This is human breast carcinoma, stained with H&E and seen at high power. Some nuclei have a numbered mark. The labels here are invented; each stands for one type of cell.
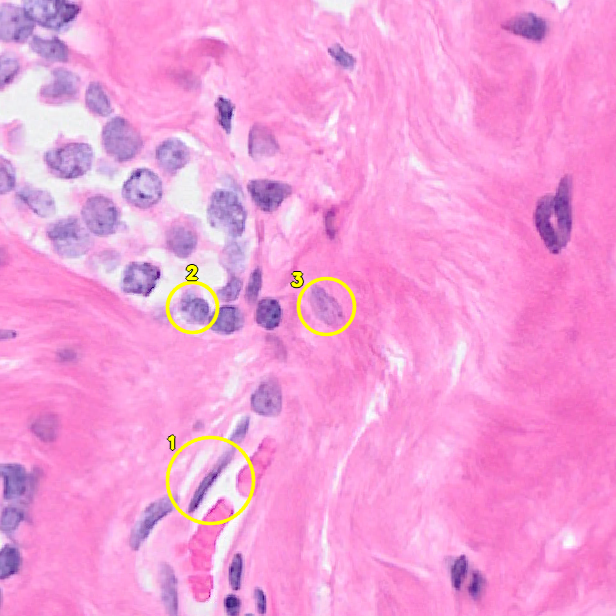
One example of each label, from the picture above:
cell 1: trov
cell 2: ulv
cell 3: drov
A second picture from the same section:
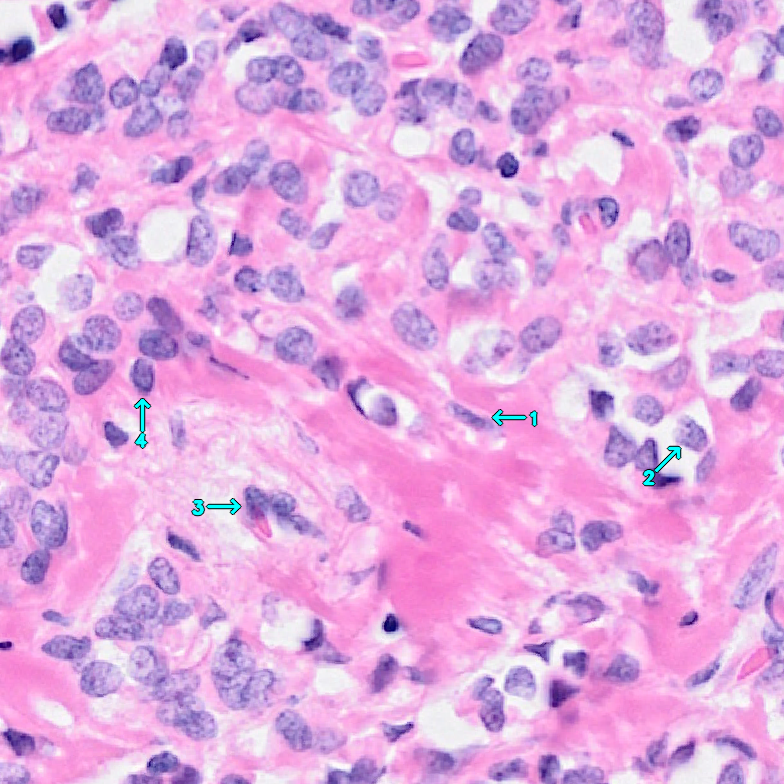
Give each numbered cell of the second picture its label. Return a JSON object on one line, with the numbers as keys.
{"1": "drov", "2": "ulv", "3": "trov", "4": "ulv"}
